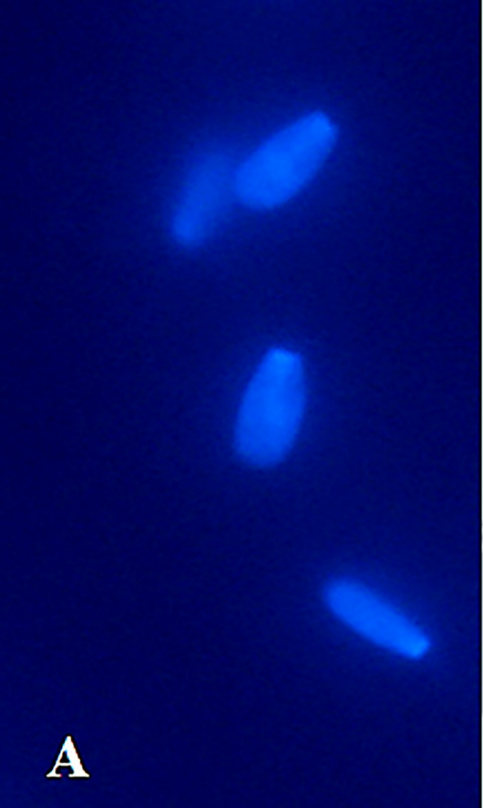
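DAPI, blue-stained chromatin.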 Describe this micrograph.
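Spermatozoa heads fluorescing blue on a dark blue background, elongated oval to pear-shaped with one end narrower than the other. Two heads overlap at the top and two lie singly below; the tails are not seen.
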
